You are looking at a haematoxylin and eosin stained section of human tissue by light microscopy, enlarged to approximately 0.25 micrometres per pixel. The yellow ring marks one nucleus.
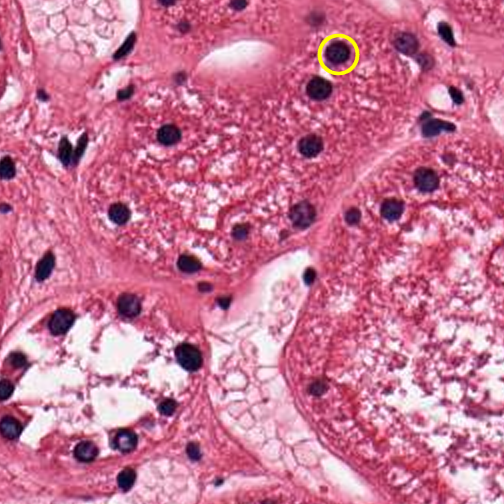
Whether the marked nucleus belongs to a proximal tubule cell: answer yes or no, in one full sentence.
Yes, the marked nucleus is that of a proximal tubule cell.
